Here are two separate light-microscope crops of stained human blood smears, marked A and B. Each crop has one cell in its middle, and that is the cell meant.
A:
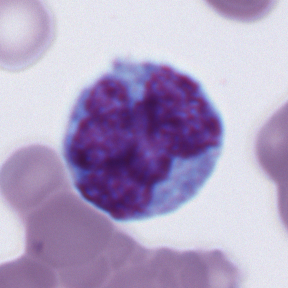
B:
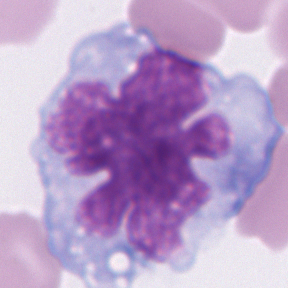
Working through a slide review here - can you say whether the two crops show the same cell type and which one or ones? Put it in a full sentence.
Yes, both crops, not just one, show monocytes.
